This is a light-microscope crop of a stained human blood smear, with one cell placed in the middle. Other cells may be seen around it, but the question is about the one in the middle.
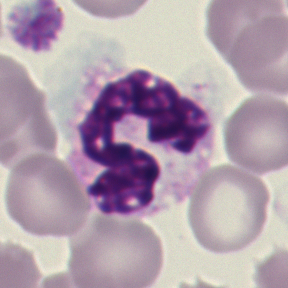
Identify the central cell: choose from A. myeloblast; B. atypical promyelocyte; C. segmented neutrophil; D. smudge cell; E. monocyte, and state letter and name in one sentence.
The correct identification, given in option C, is that the central cell is a segmented neutrophil.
